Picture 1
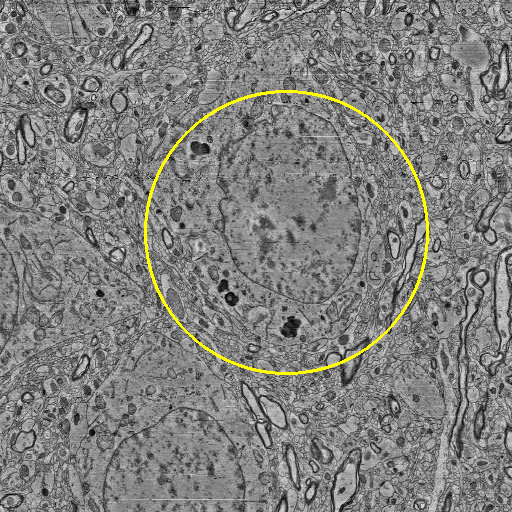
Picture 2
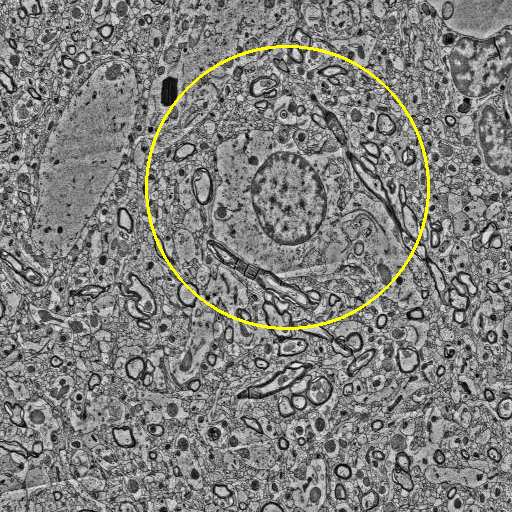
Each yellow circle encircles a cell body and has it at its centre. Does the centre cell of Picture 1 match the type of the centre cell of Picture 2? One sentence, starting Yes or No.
No, the cell centred in Picture 1 and the one in Picture 2 have separate types.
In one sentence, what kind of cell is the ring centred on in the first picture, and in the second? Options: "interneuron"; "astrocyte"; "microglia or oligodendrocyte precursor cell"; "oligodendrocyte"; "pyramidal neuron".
The cell at the centre of the second ring is an astrocyte; the first ring's cell is a pyramidal neuron.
